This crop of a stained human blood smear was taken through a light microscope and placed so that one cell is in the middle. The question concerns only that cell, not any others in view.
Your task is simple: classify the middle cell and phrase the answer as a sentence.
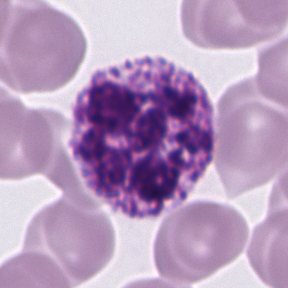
Centred in the crop is a basophil.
